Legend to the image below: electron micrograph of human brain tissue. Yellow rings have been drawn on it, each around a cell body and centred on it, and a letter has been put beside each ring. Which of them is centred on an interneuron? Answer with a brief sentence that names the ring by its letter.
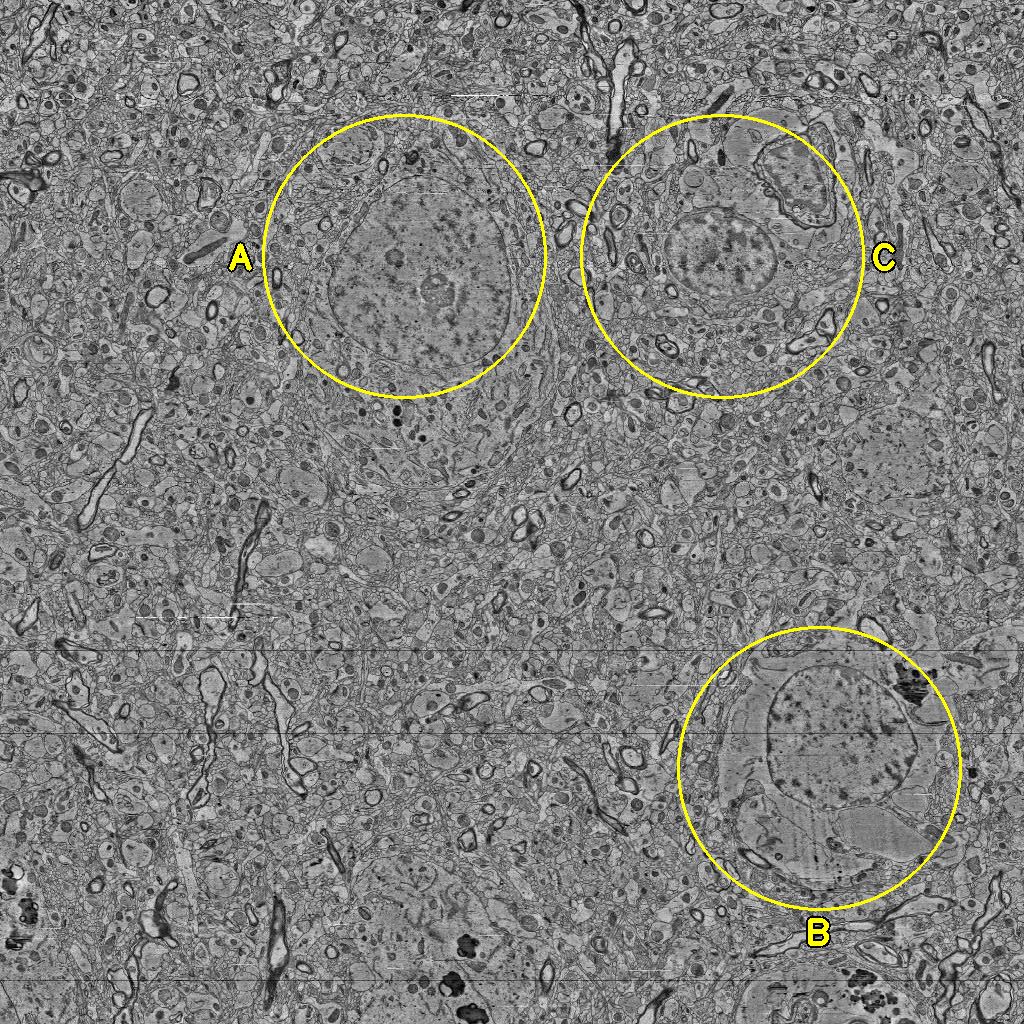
It is the ring lettered A.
